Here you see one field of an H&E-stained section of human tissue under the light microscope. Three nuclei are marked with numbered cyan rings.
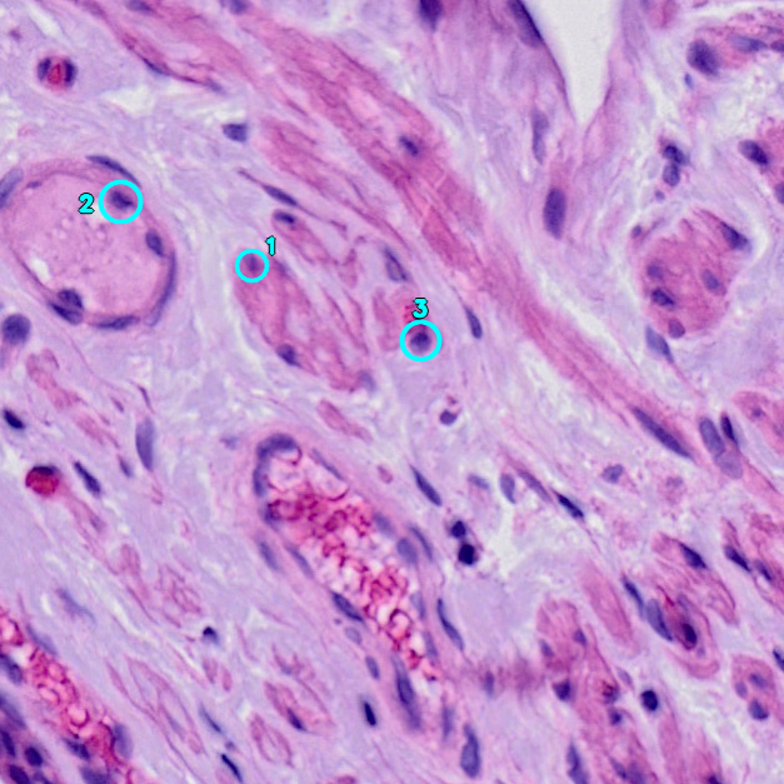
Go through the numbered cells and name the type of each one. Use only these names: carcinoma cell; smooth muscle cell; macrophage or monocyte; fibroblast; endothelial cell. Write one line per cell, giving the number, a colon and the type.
1: smooth muscle cell
2: endothelial cell
3: endothelial cell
